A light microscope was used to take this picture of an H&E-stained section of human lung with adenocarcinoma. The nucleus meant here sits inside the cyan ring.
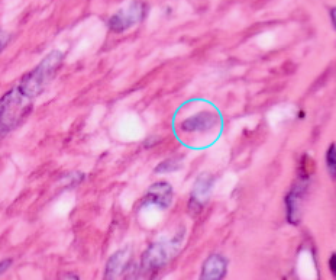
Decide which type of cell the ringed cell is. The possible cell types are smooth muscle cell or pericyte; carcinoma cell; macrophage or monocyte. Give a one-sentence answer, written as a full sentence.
The cell type represented by the ringed cell is that of a smooth muscle cell or pericyte.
